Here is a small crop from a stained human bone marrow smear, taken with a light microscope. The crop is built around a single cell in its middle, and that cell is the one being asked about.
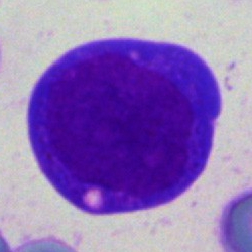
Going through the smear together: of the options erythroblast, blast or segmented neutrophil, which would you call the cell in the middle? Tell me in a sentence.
The cell around which this crop is centred is a blast.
